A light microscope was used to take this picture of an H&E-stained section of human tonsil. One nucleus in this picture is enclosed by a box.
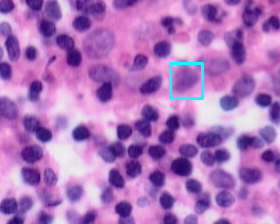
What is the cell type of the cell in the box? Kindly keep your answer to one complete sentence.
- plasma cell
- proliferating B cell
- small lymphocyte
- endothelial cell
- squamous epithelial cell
Speaking plainly, the cell in the box is nothing other than an endothelial cell.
